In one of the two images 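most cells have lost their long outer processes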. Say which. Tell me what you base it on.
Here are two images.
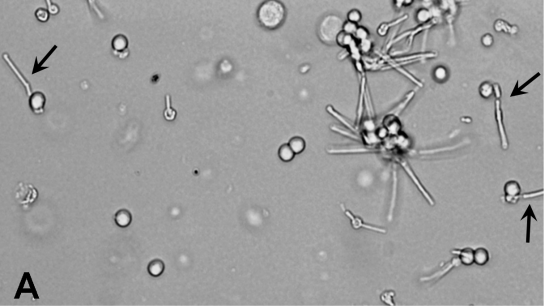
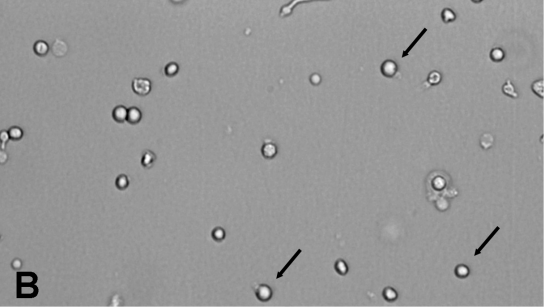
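Second image: nearly all cells are round bodies without long processes. First image: many round bodies carry a long straight rod-like process. So: the second image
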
